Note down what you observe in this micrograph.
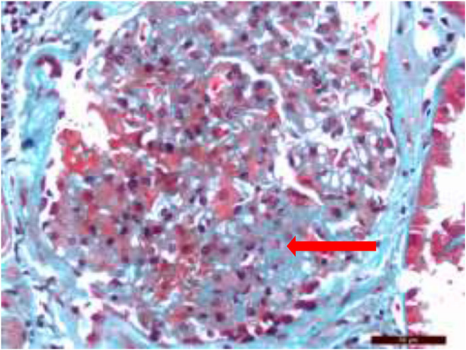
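Many cells with dark, rounded nuclei crowd the tuft, and the loops and cytoplasm stain red. One segment of the tuft is replaced by blue-green matrix in which open loops can no longer be made out. Blue-green connective tissue also rings the capsule and runs through the surrounding interstitium. At the right edge a tubule with red, granular cytoplasm lies beside the glomerulus.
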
